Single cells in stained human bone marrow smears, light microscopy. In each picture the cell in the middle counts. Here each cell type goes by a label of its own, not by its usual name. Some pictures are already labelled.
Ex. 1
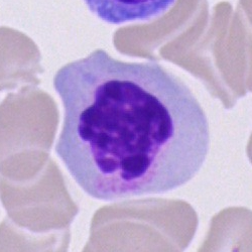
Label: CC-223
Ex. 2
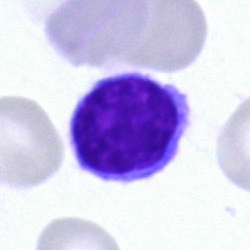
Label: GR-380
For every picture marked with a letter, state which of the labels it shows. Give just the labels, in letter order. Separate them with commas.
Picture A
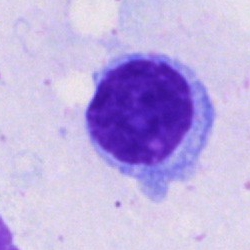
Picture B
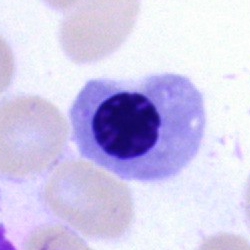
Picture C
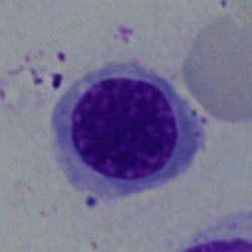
GR-380, CC-223, CC-223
